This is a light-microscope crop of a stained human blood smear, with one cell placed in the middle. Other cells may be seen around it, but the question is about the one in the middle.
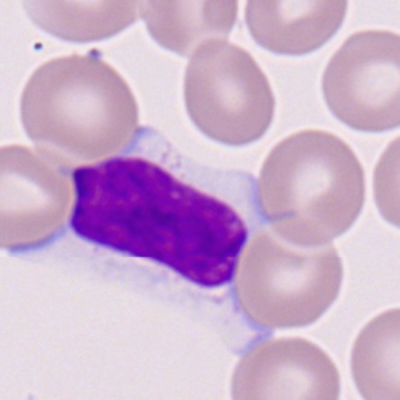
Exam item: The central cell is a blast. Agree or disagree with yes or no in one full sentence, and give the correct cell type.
No, the central cell does not count as a blast; it is a lymphocyte.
